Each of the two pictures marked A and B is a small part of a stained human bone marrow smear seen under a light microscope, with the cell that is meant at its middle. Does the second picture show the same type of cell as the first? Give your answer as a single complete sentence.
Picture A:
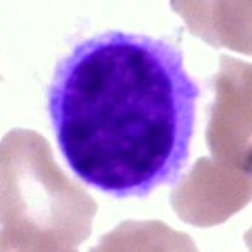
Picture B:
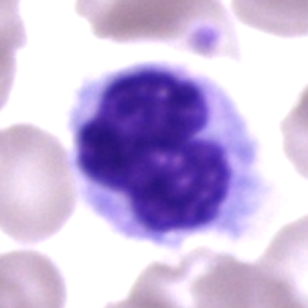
No, the types are not the same, since picture A shows a hairy cell and picture B a monocyte.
